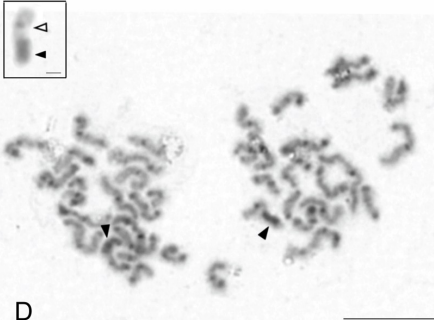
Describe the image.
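Two metaphase spreads of condensed chromosomes lie side by side, the chromosomes appearing as grey rods of varying length and curvature. Many chromosomes carry dark, dense blocks, some at their ends and some within the arms. The rest of each chromosome stains paler grey. An inset shows a single enlarged chromosome with a constriction dividing it into a short and a long arm, the long arm carrying a large dark block. Small black arrowheads mark dark blocks on chromosomes in both spreads.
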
